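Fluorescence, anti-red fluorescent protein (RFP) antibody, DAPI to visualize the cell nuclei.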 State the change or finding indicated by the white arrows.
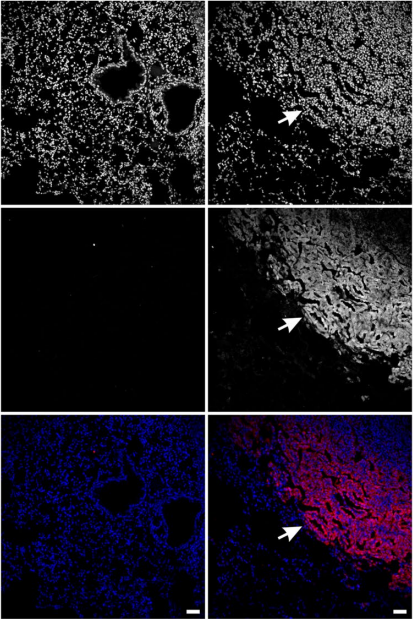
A: Neoplastic lesion.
